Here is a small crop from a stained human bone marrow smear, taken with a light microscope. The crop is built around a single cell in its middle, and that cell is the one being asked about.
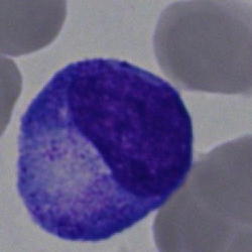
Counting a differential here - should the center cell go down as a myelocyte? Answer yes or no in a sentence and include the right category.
No, it is not a myelocyte that lies in the middle but a promyelocyte.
